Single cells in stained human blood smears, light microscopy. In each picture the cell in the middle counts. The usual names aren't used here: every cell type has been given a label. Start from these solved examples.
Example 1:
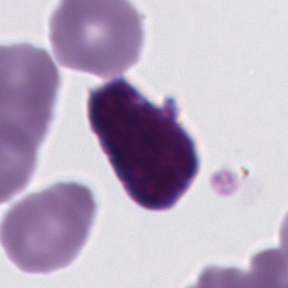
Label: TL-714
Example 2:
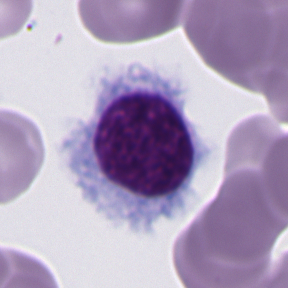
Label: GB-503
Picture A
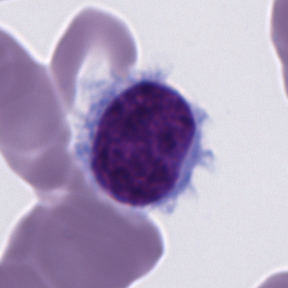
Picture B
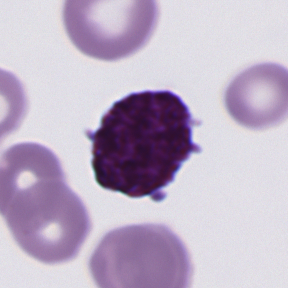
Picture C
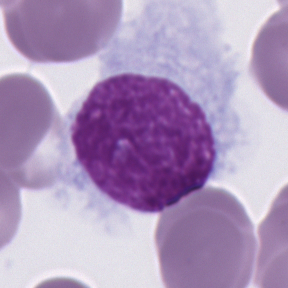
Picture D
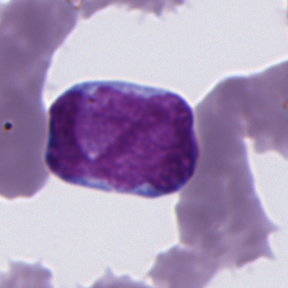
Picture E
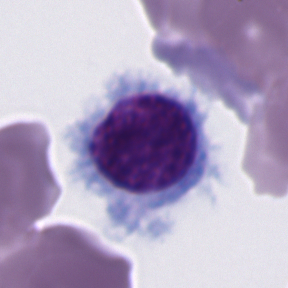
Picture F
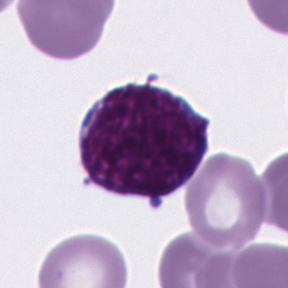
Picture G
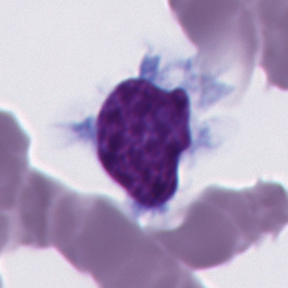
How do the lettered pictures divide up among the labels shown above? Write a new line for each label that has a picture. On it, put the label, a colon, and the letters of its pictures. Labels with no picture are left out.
TL-714: B, D, F
GB-503: A, C, E, G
